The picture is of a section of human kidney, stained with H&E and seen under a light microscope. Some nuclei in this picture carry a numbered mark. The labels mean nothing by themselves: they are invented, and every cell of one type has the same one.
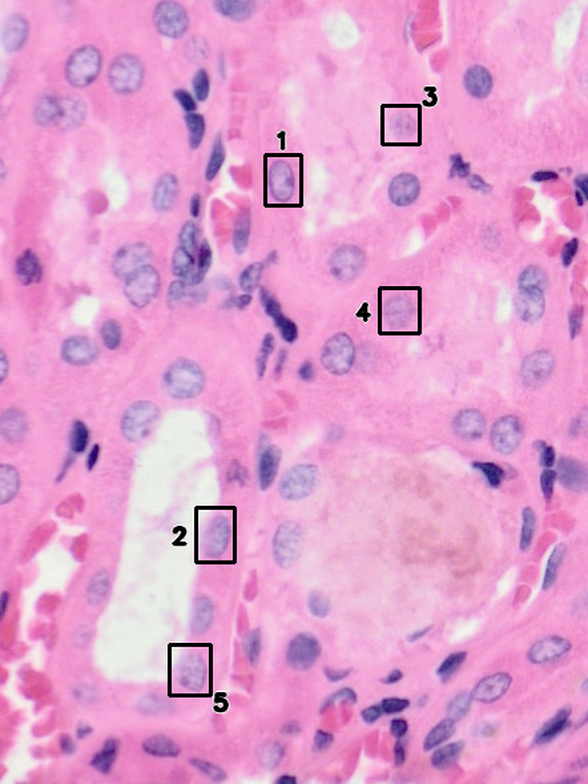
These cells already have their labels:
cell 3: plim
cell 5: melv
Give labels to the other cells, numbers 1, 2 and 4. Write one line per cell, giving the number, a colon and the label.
1: plim
2: melv
4: plim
